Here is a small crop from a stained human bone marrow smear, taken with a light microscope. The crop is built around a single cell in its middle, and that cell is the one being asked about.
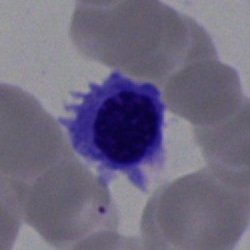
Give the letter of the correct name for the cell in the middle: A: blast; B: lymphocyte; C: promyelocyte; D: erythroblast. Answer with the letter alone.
D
